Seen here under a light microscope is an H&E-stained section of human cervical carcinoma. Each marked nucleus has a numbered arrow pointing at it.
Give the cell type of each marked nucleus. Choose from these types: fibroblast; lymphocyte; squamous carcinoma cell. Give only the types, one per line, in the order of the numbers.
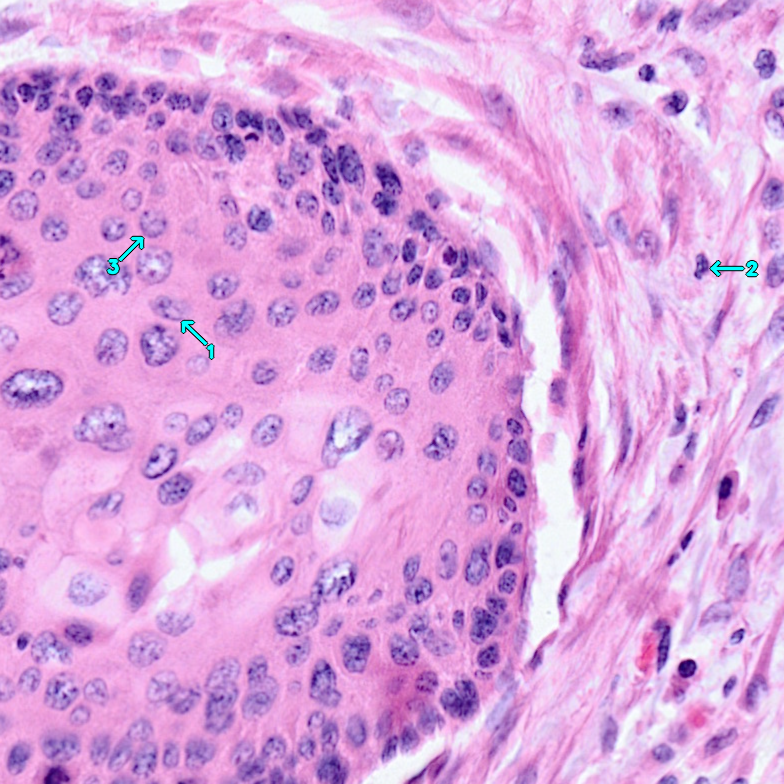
squamous carcinoma cell
lymphocyte
squamous carcinoma cell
